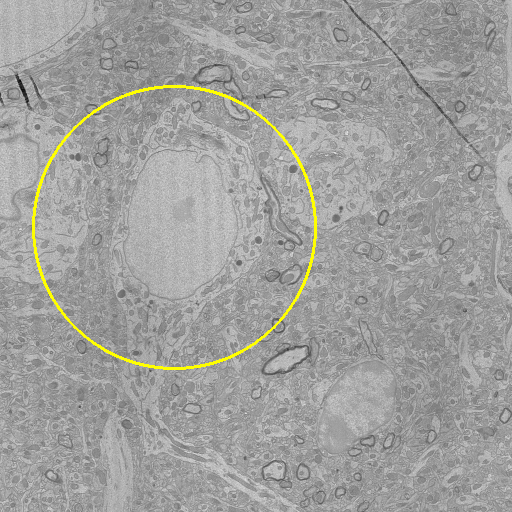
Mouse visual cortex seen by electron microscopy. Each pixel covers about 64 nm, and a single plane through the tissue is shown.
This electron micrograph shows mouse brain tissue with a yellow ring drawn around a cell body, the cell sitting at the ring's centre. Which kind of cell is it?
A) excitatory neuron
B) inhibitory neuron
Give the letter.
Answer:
B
